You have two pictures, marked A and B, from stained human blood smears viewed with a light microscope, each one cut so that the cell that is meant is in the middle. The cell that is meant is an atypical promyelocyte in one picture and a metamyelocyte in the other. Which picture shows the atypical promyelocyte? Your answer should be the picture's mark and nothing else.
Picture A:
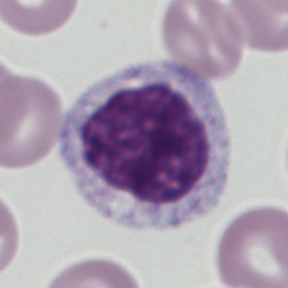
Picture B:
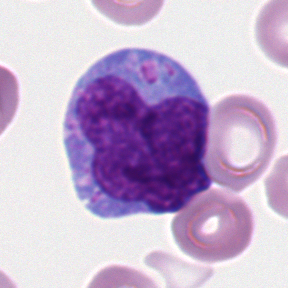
B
